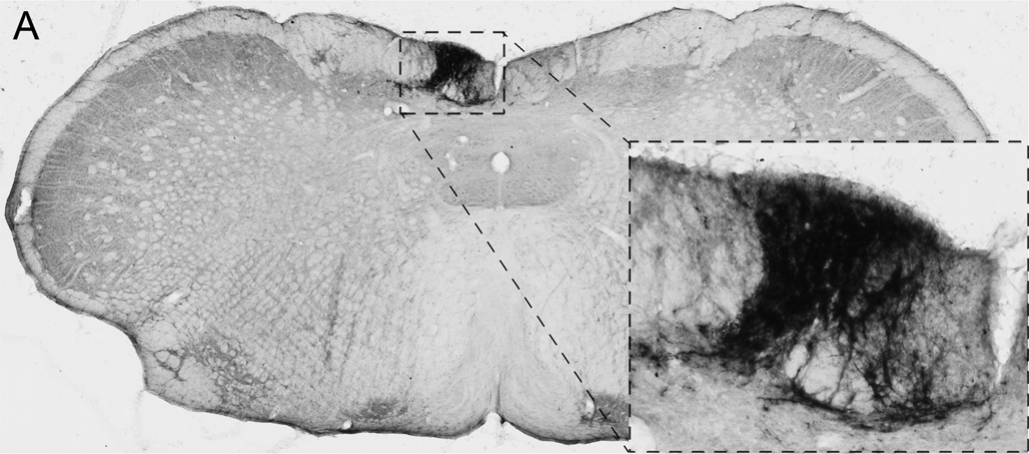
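This is a transverse section of the caudal brain stem, with the central canal just below the dorsal midline. On one side of the midline, a small dorsal nucleus is filled with a dense, almost black meshwork of labelled fibres. The rest of the section is pale grey and shows the pale dots of cross-cut fibre bundles. In the enlarged inset, the dark mass resolves into a tangle of fine axons, with single fibres trailing ventrally from its lower edge.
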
